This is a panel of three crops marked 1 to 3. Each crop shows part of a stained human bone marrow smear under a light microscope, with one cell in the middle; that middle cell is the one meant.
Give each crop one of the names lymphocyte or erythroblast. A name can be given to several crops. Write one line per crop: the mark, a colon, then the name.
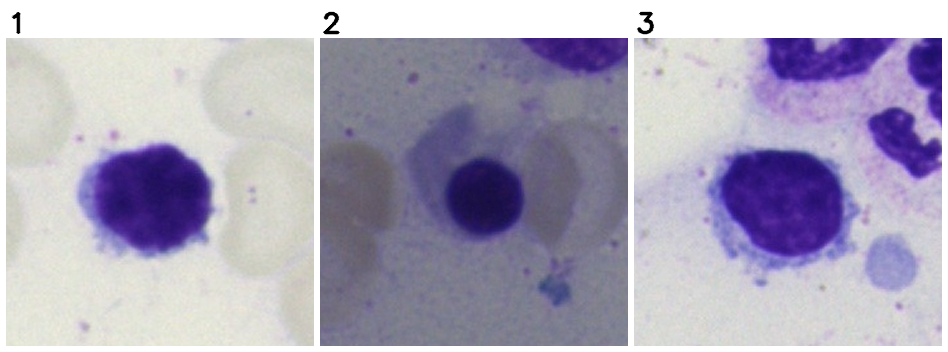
1: lymphocyte
2: erythroblast
3: lymphocyte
